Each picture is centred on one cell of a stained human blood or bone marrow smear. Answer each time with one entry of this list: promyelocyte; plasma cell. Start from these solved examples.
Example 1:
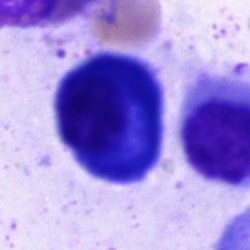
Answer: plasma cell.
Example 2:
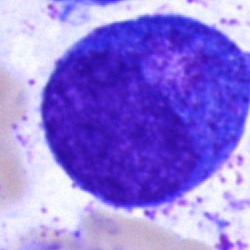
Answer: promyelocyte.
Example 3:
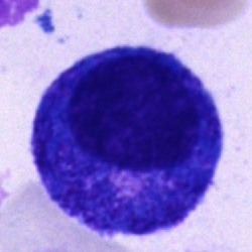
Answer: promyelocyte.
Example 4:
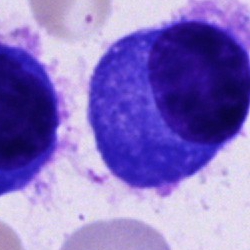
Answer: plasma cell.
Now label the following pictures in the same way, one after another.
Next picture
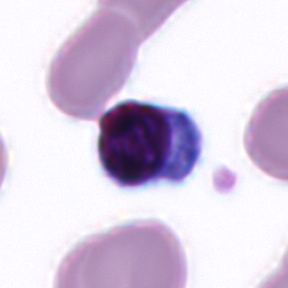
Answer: plasma cell.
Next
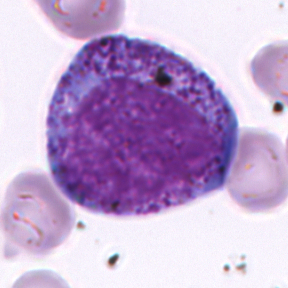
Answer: promyelocyte.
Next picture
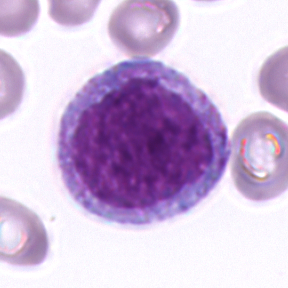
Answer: promyelocyte.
